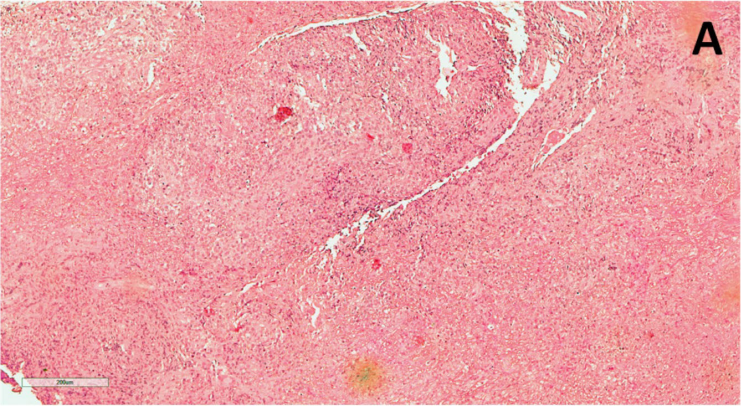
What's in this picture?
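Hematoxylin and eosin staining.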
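The cells form a continuous pink sheet, with no normal glands or layered structures remaining in view. Among them, darker purple clusters of small round nuclei mark areas where lymphocytes are crowded together. A few narrow clefts and small red blood-filled spaces cross the infiltrate.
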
